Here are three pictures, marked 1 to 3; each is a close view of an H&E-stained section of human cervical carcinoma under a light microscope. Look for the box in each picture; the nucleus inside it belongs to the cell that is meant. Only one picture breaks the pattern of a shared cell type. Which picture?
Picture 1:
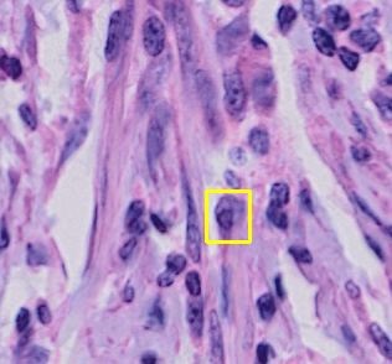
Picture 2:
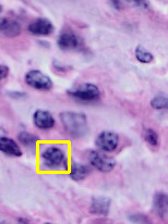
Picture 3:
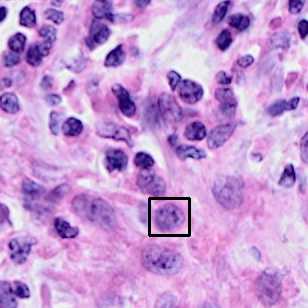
2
